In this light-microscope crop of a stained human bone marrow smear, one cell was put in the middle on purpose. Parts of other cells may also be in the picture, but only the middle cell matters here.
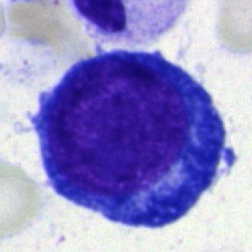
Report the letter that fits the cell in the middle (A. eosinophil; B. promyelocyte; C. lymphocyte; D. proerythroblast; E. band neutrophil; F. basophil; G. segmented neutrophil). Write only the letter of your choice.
D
